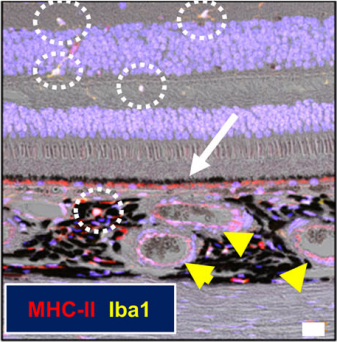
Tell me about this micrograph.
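Beneath lies the retinal pigment epithelium as a thin dark band, here traced by a red line. Under it the choroid holds round vessel profiles lined by flattened cells, surrounded by dense, irregular black pigmented cells. A few small stained cells are scattered in the inner retina and one lies within the choroid, each ringed by a dashed circle.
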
